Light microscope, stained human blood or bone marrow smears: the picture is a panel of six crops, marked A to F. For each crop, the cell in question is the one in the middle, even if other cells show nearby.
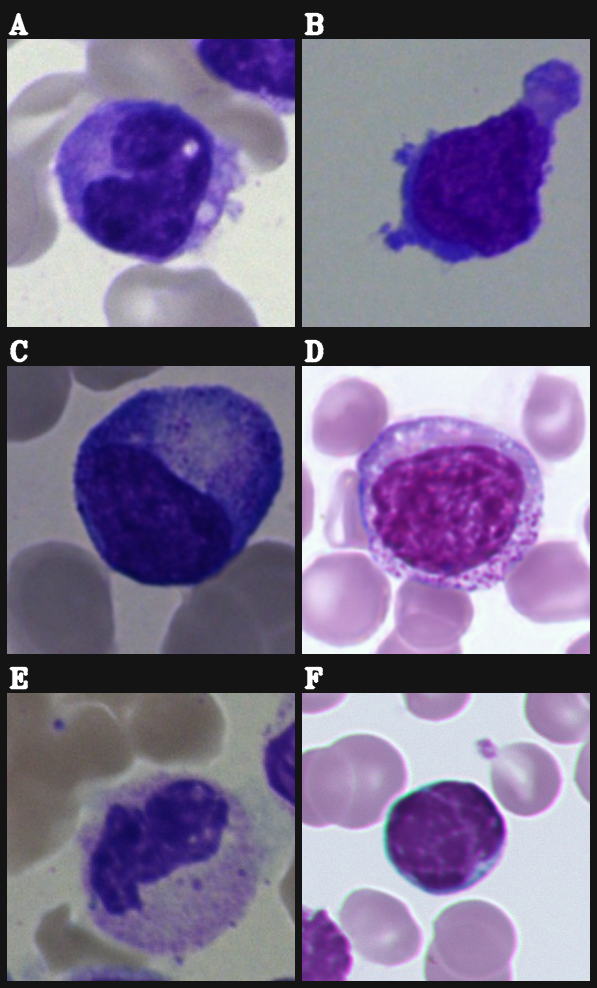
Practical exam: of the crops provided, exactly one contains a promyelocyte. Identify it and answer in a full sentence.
The one crop in the set with a promyelocyte is crop C.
